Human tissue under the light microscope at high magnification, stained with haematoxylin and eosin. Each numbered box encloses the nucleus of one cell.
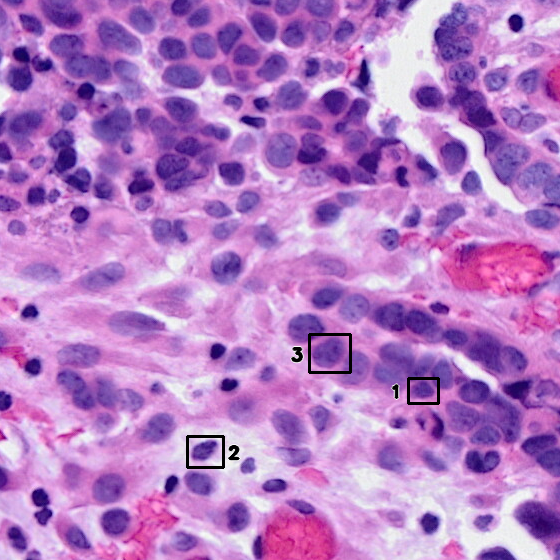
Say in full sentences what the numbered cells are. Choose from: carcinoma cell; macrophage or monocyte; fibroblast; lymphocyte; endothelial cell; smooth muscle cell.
Cell 1 is a carcinoma cell, cell 2 is a lymphocyte and cell 3 is a carcinoma cell.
